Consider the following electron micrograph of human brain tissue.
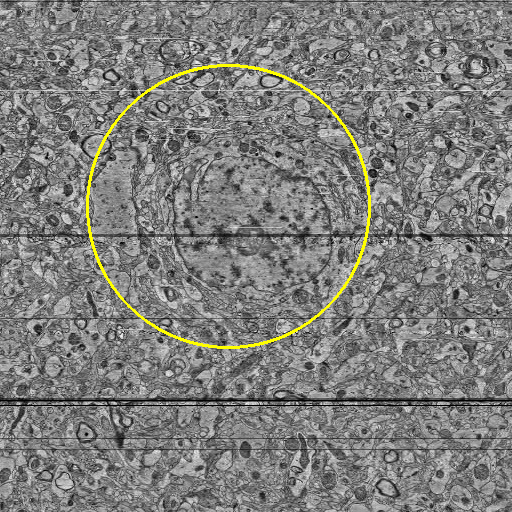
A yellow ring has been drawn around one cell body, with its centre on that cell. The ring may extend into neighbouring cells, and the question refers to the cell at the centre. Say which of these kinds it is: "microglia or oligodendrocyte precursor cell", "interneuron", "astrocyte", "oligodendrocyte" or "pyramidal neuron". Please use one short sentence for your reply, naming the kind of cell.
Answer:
The centre of the ring falls on an interneuron.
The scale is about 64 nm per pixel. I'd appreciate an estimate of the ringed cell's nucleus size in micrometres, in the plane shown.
Approximately 11 x 9 micrometres in this plane.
